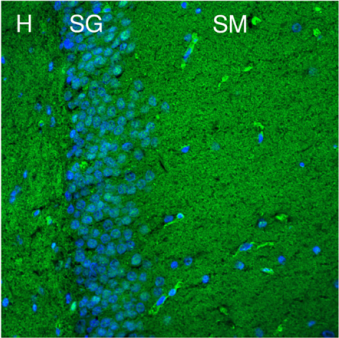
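The stratum granulosum is a broad band of tightly packed, round blue nuclei, with green between the cells. To its right the wide stratum moleculare carries an even, fine-granular to homogeneous green stain and holds only sparse nuclei. The narrow strip of hilus on the left is also green. Scattered elongated, brighter green profiles with flattened nuclei, probably small vessels, lie within the molecular zone.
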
